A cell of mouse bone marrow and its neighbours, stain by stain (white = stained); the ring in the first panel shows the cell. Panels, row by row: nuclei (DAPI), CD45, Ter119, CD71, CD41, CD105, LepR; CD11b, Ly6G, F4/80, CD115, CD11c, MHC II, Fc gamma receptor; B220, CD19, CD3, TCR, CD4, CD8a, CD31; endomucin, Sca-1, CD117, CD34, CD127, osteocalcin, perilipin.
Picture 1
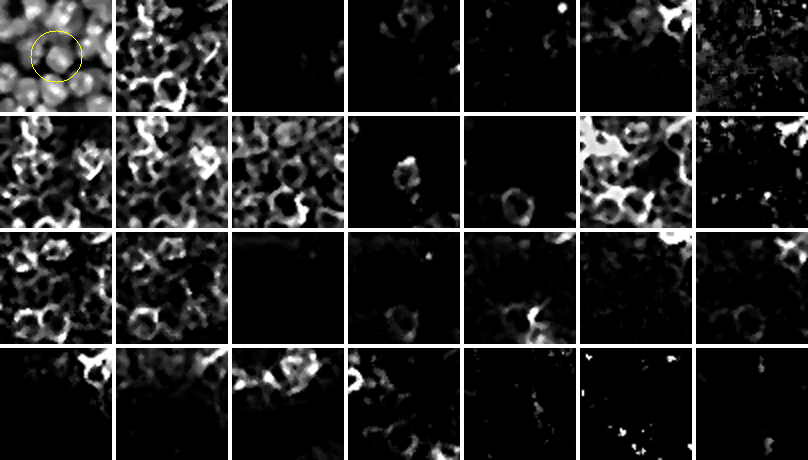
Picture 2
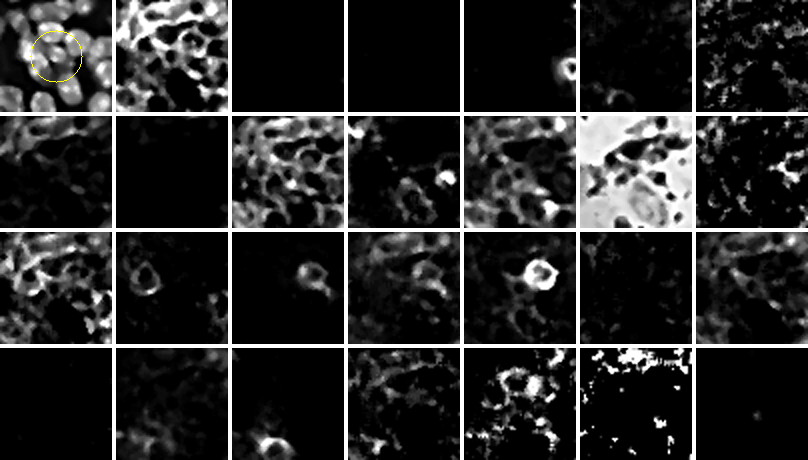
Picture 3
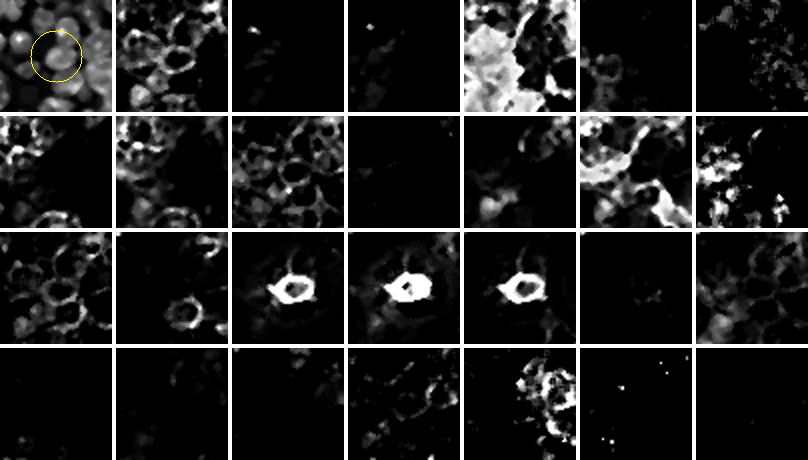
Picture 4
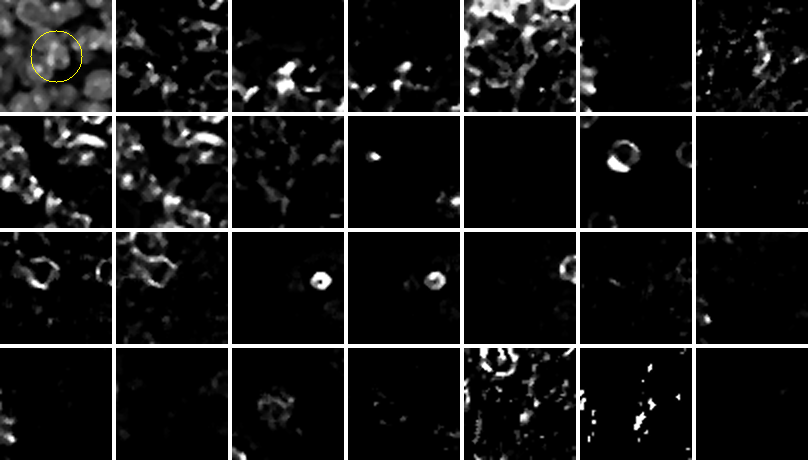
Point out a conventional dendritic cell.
That is picture 2.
